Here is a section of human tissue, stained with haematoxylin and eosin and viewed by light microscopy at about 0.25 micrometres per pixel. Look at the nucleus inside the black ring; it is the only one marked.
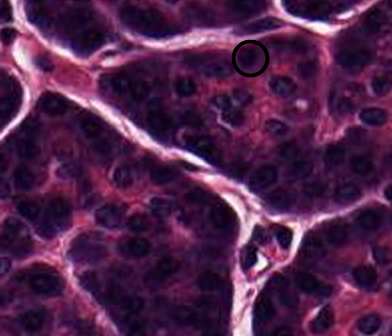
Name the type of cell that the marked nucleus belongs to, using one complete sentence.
The nucleus indicated by the mark belongs to a pancreatic acinar cell.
